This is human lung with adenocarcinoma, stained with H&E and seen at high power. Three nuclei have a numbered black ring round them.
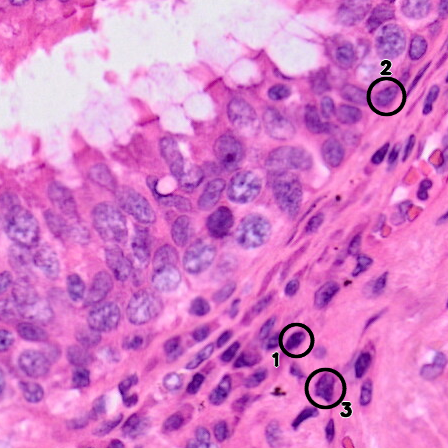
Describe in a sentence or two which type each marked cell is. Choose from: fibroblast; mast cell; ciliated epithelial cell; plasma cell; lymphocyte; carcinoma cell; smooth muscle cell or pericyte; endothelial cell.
Cells 1 and 3 are plasma cells. Cell 2 is a ciliated epithelial cell.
